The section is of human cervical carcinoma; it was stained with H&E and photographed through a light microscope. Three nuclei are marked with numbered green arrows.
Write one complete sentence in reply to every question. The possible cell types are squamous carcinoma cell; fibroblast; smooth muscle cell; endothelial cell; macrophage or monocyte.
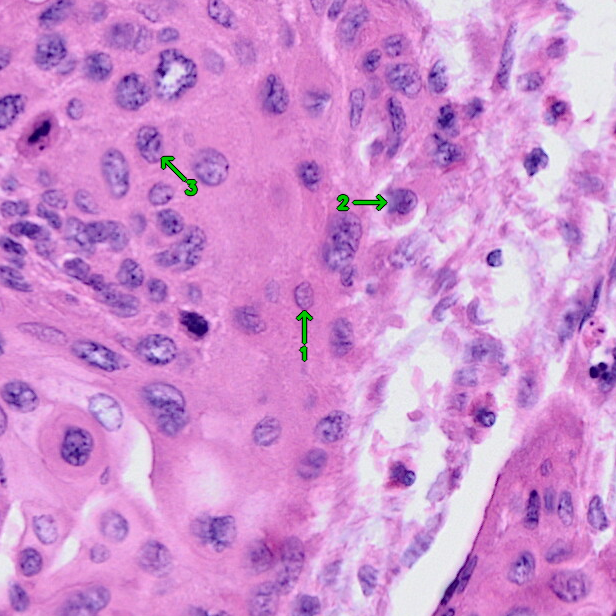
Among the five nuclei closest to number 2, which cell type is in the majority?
The majority of the five nuclei closest to number 2 belong to squamous carcinoma cells.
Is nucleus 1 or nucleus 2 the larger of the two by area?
Nucleus 2 covers more area, about 1.5 times as much as nucleus 1.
